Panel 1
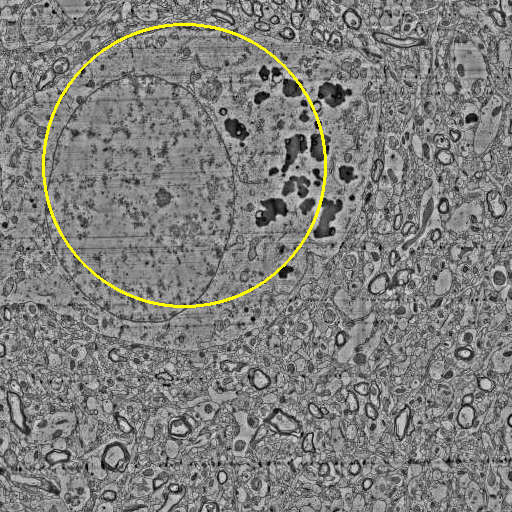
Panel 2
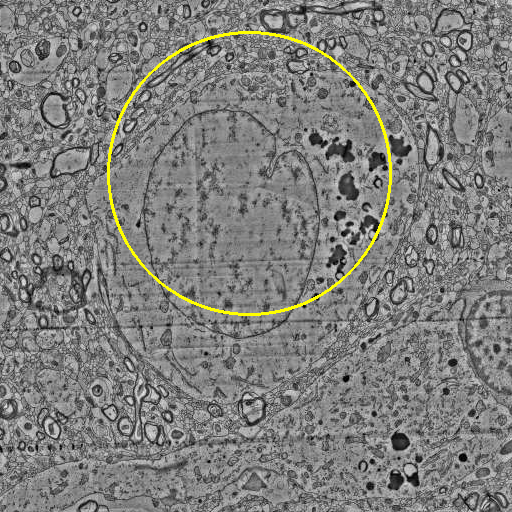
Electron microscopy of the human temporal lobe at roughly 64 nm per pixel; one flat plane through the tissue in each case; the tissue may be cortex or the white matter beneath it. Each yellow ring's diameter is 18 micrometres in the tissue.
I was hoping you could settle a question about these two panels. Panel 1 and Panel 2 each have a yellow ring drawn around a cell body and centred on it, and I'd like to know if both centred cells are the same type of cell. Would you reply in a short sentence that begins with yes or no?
Yes, both are the same type of cell.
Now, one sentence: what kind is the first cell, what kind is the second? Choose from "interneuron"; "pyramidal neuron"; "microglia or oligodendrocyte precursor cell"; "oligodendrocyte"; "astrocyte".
In each of the two pictures, the ringed cell is a pyramidal neuron.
